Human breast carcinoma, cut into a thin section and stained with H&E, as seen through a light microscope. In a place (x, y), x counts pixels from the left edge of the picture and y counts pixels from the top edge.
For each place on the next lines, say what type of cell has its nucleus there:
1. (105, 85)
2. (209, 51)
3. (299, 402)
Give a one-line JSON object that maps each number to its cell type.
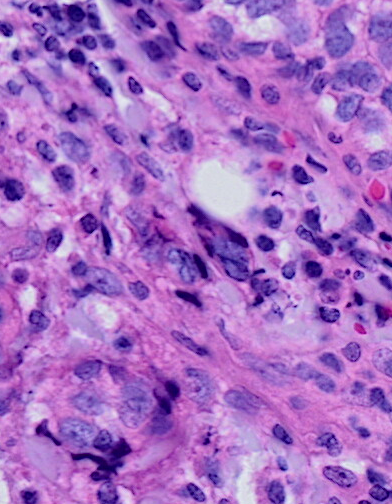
{"1": "lymphocyte", "2": "endothelial cell", "3": "endothelial cell"}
